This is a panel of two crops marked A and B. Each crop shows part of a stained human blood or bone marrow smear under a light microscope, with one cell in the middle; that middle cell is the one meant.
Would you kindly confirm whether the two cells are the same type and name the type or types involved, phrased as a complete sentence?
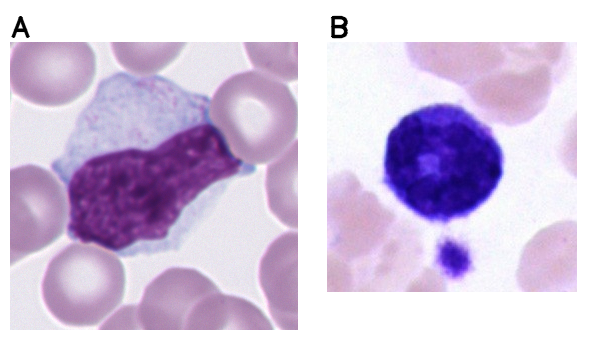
Yes, both crops contain monocytes at their centres.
